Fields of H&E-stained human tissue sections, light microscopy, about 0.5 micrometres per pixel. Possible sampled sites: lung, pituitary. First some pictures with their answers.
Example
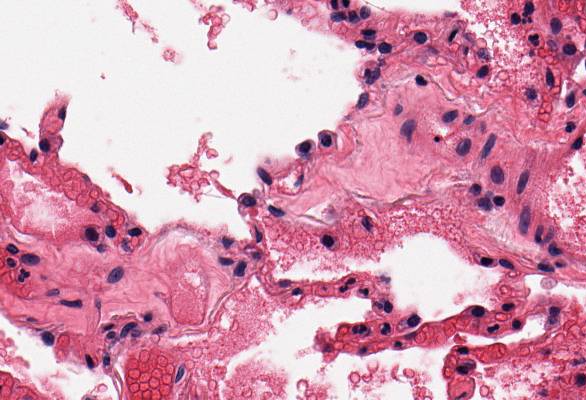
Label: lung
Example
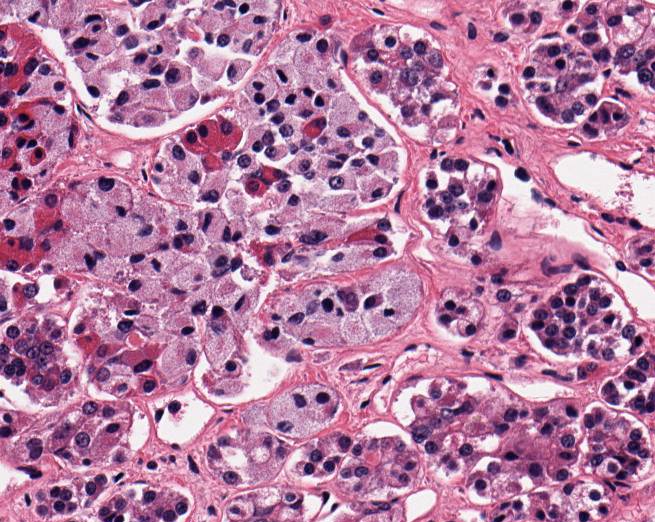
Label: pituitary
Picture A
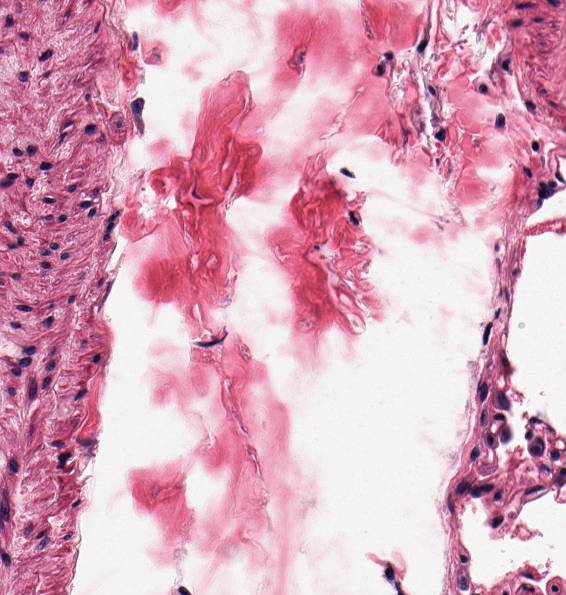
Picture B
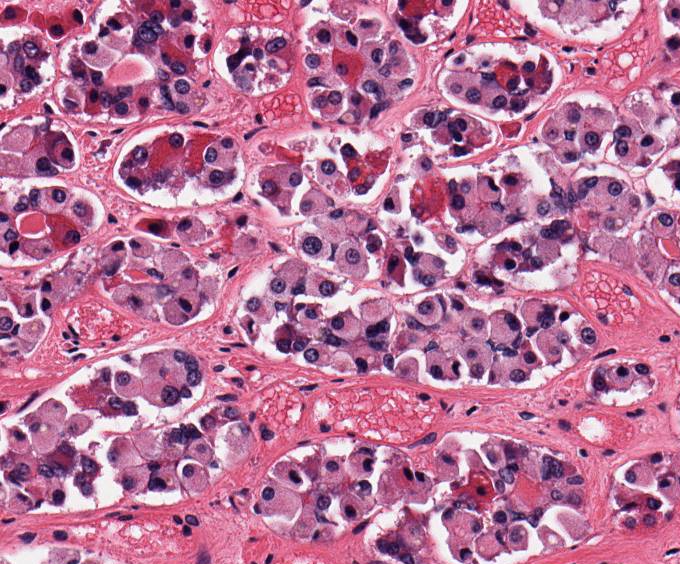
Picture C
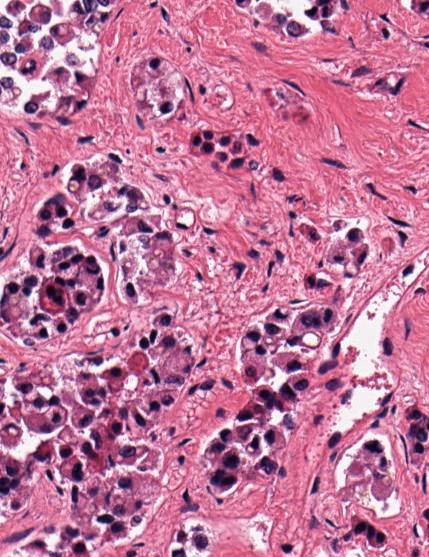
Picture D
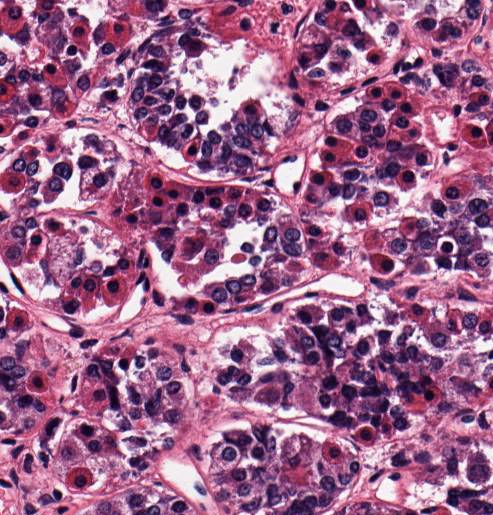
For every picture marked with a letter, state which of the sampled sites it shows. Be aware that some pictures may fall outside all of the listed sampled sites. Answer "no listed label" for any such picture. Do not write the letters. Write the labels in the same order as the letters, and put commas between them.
lung, pituitary, pituitary, pituitary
